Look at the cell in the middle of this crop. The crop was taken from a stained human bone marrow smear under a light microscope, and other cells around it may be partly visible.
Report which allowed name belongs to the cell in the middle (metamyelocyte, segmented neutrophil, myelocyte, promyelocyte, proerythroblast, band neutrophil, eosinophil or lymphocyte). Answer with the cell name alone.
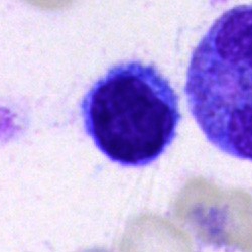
lymphocyte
